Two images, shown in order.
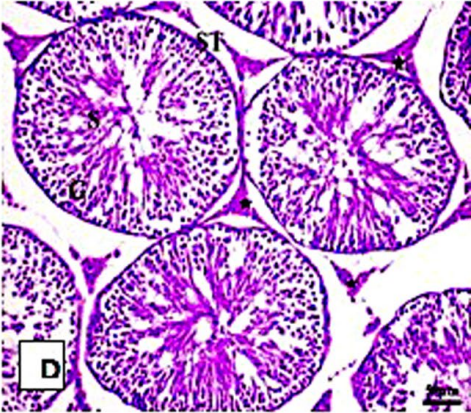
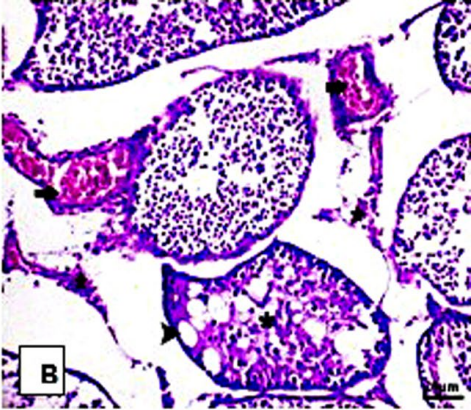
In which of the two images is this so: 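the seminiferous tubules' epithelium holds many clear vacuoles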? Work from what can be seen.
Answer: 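First image: tubules have compact, many-layered epithelium with flagella in the lumen. Second image: one tubule is filled with clear round vacuoles and disorganized cells. On this evidence: the second image.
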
